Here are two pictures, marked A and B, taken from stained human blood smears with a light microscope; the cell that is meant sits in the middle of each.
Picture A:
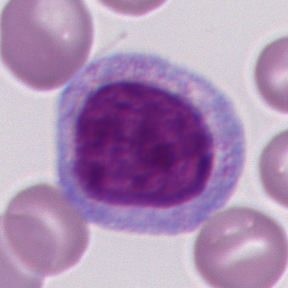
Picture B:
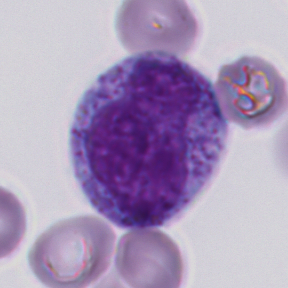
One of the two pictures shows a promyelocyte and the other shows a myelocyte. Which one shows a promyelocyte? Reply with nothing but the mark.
B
